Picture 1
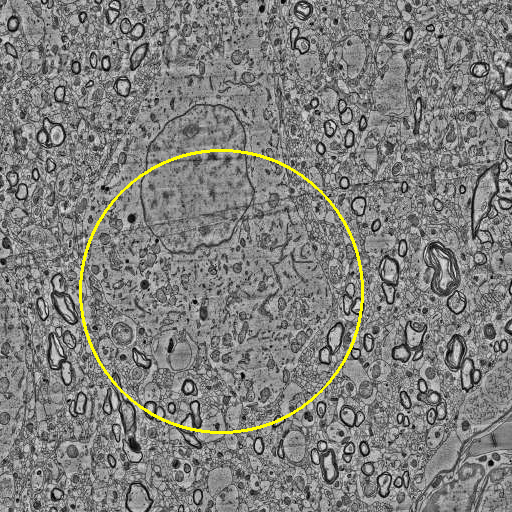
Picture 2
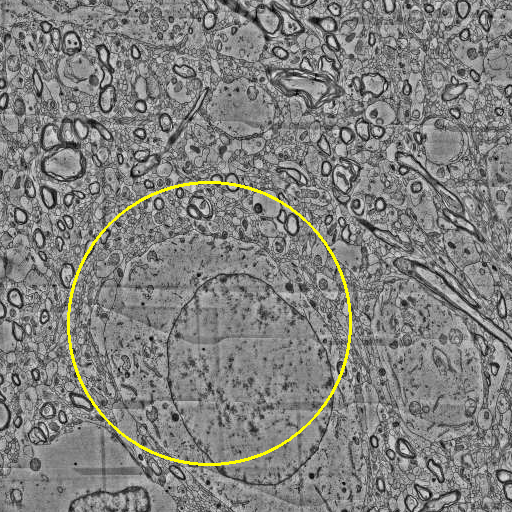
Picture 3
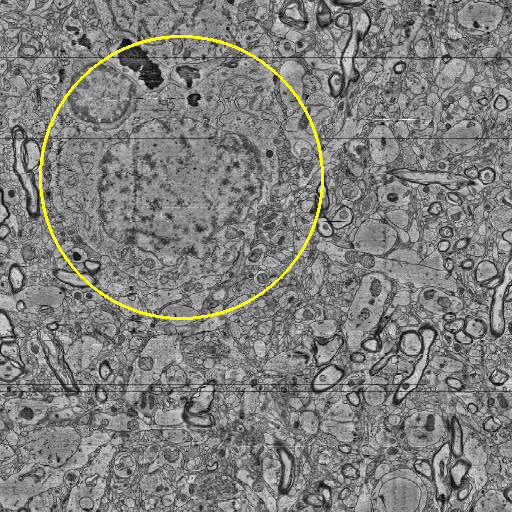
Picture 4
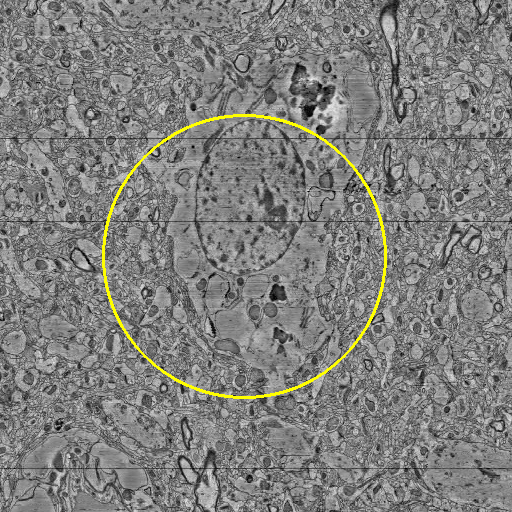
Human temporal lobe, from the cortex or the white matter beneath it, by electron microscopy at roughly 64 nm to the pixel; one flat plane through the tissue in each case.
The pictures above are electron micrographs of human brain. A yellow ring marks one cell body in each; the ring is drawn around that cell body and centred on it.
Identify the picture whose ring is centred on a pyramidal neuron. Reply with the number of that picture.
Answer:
2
